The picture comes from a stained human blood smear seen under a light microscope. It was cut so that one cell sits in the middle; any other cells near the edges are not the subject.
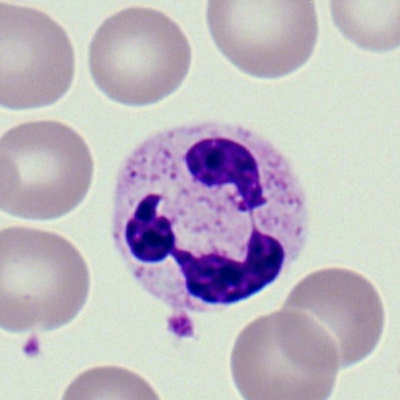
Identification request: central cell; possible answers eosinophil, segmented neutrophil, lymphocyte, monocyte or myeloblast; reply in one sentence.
For this crop, the cell in the middle is a segmented neutrophil.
